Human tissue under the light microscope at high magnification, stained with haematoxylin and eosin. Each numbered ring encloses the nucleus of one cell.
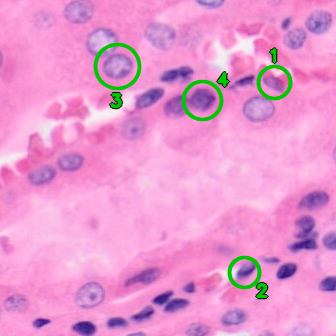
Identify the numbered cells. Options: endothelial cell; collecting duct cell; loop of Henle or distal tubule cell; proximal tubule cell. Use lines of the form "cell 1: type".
cell 1: endothelial cell
cell 2: endothelial cell
cell 3: proximal tubule cell
cell 4: proximal tubule cell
